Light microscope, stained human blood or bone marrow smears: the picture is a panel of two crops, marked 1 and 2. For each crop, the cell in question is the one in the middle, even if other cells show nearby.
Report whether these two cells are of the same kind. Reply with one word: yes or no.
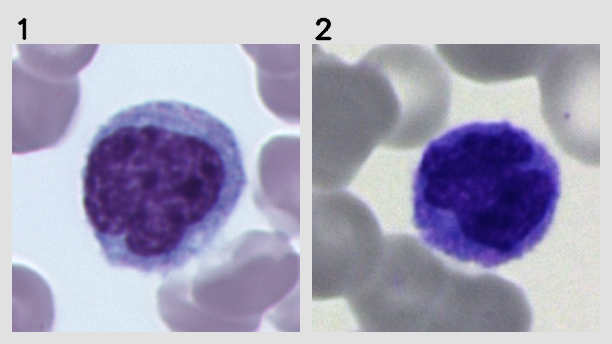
yes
